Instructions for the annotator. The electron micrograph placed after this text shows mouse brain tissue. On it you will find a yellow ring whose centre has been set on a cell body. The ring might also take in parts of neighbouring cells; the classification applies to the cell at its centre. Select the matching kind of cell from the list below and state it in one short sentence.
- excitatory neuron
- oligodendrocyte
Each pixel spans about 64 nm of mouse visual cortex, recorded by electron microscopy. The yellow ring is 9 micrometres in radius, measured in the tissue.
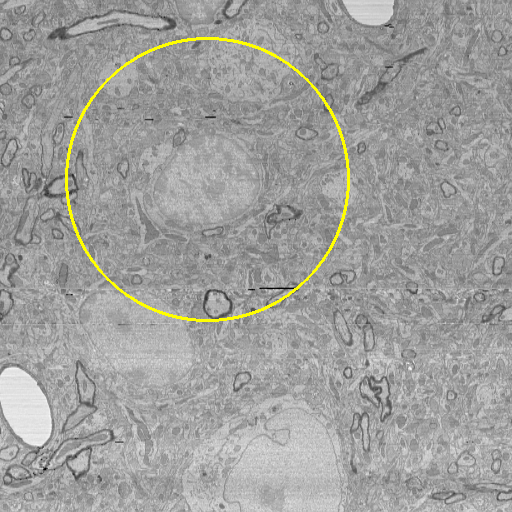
The ring is drawn on the cell body of an oligodendrocyte.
